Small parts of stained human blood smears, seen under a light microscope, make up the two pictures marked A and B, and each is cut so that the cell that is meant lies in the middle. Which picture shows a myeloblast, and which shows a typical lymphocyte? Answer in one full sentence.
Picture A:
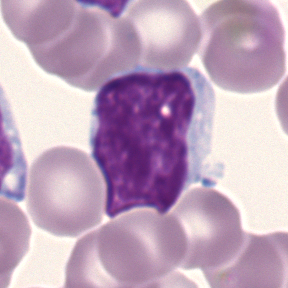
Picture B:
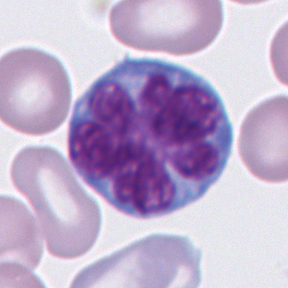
It is picture A that shows a typical lymphocyte, and picture B that shows a myeloblast.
